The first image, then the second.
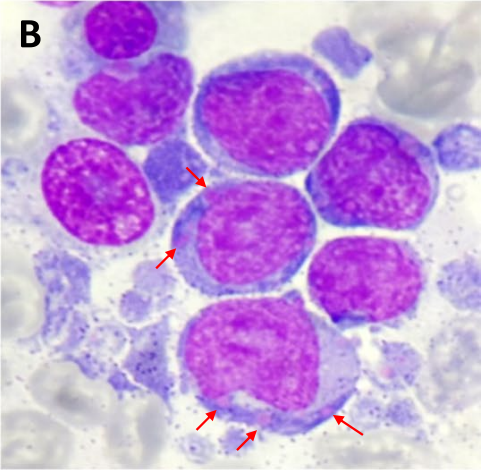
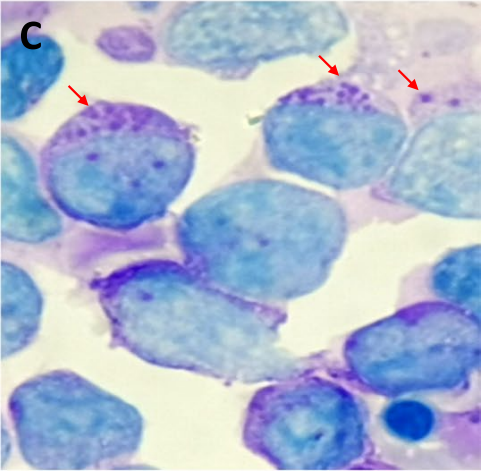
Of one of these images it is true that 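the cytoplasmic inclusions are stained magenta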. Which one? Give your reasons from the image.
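Second image: clusters of dark magenta granules lie in the cytoplasm at the arrows against blue-green nuclei. First image: the arrows point at cytoplasmic rims that are pale blue-grey without dark-stained granules.
Answer: the second image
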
